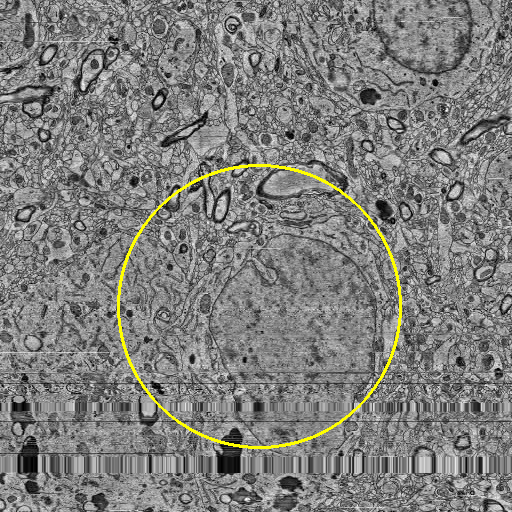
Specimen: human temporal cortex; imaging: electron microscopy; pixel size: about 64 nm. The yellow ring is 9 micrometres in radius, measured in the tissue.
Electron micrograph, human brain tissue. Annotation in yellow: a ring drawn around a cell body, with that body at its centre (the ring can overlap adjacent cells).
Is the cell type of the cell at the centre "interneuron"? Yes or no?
Yes, it is of that type.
